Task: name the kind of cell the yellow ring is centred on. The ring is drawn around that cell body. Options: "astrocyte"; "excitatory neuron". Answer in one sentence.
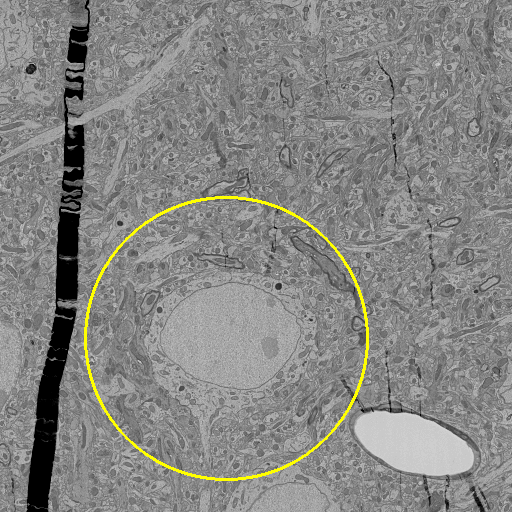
This cell body belongs to an excitatory neuron.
